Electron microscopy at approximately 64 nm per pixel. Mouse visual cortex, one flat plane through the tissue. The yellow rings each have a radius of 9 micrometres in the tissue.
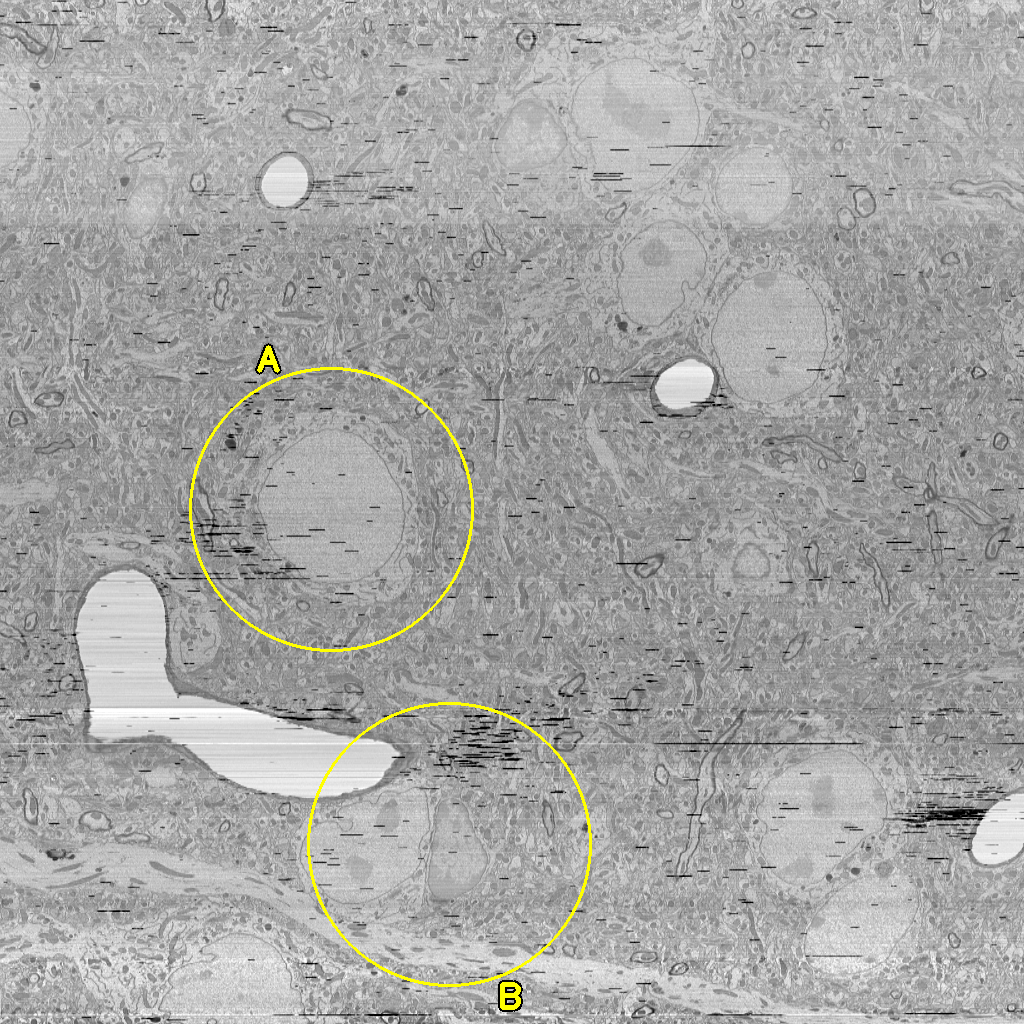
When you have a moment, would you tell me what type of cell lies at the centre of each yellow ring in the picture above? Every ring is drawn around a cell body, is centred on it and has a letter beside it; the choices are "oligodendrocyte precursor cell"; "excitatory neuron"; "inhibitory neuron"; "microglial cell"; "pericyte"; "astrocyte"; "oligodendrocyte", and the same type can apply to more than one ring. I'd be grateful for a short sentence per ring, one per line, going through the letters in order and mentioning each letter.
The cell at the centre of ring A is an excitatory neuron.
The cell at the centre of ring B is a microglial cell.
